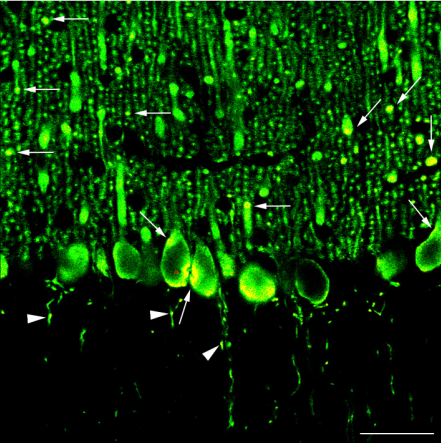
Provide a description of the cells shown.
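This is cerebellar cortex with a row of Purkinje cell bodies and their dendrites and axons. Above, vertically running dendrites carry many green and yellow dots and swellings. Arrows point to yellow spots in dendrites and cell bodies.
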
